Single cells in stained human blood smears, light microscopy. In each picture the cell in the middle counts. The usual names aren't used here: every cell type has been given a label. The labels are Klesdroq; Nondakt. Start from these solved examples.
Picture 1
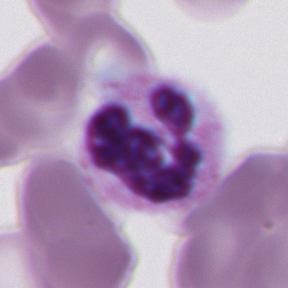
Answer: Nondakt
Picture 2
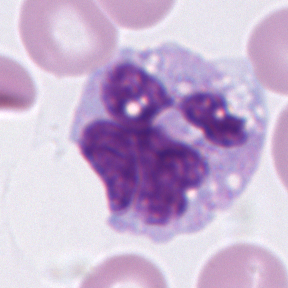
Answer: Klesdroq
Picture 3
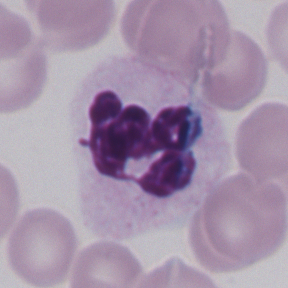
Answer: Nondakt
